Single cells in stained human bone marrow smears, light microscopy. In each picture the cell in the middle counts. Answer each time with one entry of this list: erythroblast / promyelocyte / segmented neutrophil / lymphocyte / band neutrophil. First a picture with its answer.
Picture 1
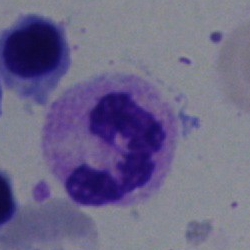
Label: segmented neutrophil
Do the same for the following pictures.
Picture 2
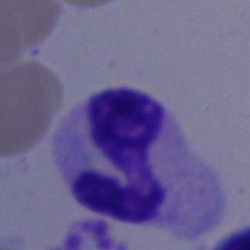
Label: band neutrophil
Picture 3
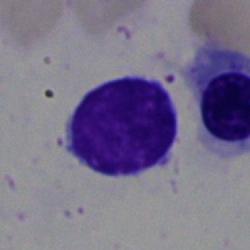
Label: lymphocyte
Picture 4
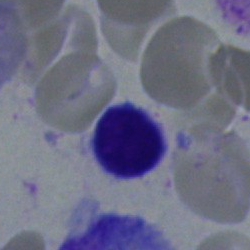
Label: lymphocyte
